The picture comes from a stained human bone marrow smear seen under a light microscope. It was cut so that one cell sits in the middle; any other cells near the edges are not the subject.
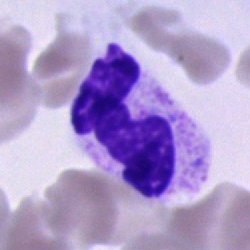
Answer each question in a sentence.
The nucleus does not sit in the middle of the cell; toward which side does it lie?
It is shifted toward the left of the cell.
